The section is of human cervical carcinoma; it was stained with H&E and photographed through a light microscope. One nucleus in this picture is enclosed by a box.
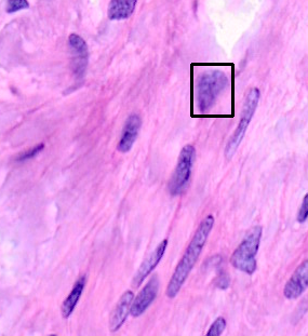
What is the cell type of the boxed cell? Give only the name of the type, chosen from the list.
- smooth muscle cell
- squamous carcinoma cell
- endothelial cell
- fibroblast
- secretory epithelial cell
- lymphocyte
fibroblast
